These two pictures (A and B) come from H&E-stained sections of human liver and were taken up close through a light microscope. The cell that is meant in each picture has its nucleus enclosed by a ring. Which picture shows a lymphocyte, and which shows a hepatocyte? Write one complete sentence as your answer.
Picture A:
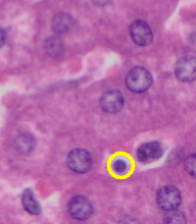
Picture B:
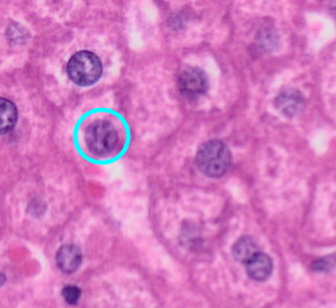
In picture A the cell is a lymphocyte; in picture B, a hepatocyte.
